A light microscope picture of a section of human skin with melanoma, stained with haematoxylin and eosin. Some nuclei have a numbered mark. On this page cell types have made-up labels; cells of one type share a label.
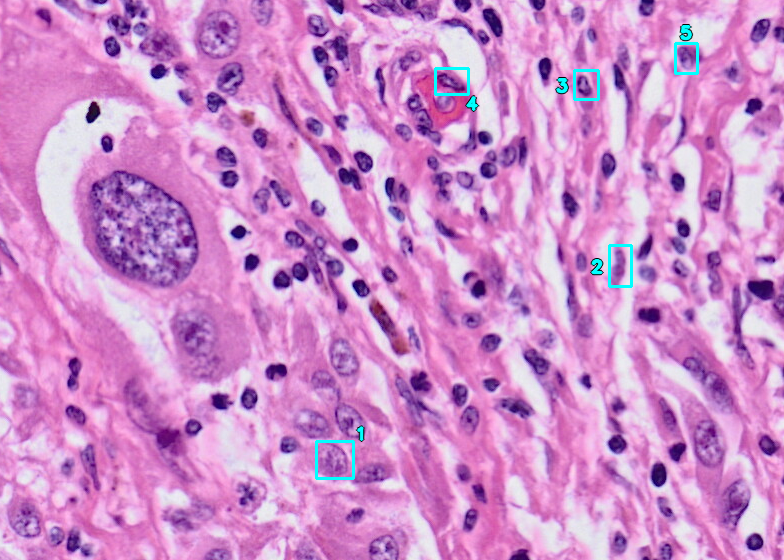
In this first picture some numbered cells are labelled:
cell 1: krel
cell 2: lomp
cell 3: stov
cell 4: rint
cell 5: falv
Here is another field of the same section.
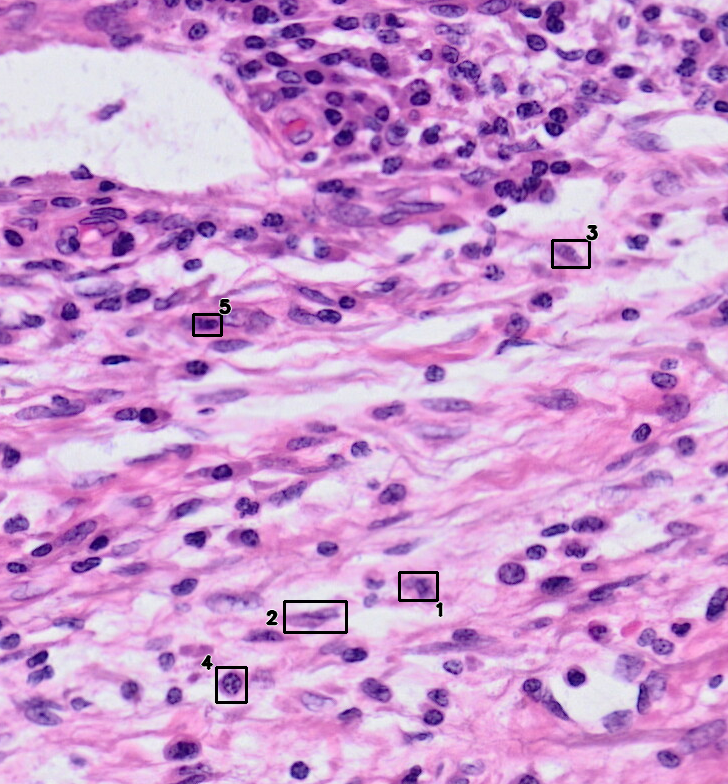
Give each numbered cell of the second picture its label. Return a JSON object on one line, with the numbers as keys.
{"1": "falv", "2": "lomp", "3": "falv", "4": "stov", "5": "rint"}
